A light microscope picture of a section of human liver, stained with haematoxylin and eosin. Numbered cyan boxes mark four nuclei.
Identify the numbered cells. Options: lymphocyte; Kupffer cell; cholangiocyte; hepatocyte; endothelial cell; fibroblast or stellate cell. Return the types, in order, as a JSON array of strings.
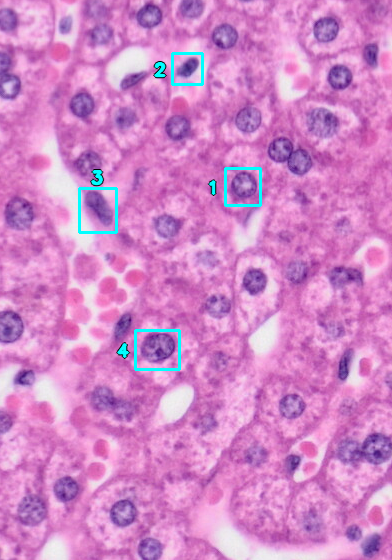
["hepatocyte", "lymphocyte", "Kupffer cell", "hepatocyte"]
